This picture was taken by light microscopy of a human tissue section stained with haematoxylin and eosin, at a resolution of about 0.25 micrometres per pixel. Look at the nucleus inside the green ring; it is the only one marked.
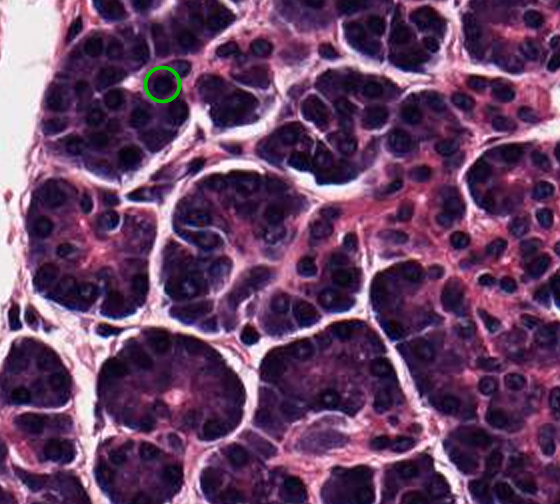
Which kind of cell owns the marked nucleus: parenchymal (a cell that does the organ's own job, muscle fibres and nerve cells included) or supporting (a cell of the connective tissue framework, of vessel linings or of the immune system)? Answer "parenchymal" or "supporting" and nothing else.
parenchymal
